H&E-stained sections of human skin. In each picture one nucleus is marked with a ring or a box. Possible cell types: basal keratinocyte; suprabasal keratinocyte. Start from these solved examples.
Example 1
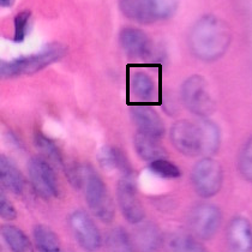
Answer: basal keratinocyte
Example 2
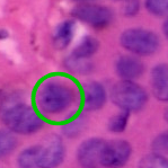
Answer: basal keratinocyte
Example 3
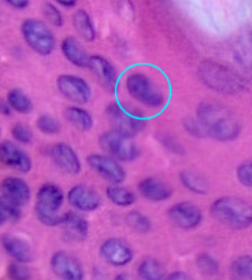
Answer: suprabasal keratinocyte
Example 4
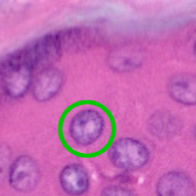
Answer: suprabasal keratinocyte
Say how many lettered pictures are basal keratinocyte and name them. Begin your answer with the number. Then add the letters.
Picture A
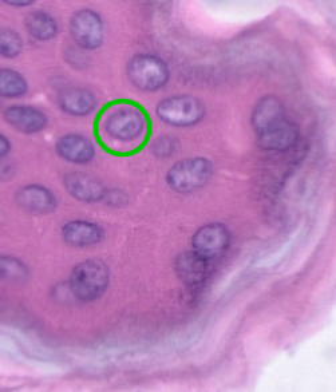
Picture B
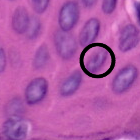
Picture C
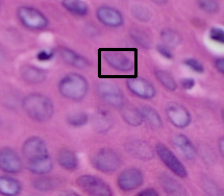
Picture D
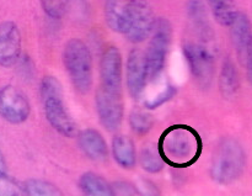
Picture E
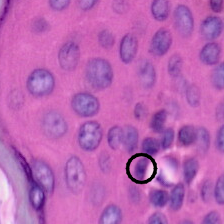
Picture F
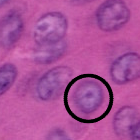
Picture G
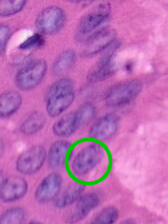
Count: 3 (D, E, G)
